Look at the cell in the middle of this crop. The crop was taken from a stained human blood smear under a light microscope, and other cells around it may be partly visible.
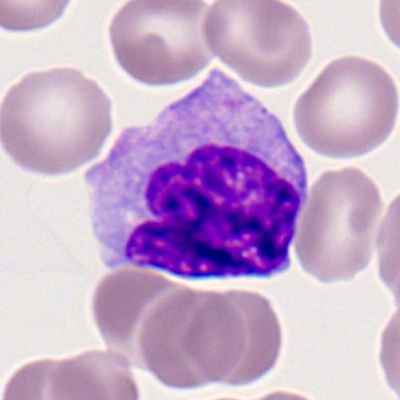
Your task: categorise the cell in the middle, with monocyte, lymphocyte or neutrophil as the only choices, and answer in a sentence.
As for the central cell, it is a monocyte.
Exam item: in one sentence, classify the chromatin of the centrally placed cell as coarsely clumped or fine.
If you check the nucleus, you will find the chromatin coarsely clumped.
